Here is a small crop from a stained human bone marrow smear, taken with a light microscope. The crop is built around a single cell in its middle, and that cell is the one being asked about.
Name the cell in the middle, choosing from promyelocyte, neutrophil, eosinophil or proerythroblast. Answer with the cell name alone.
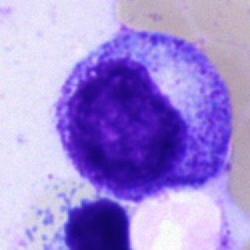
promyelocyte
